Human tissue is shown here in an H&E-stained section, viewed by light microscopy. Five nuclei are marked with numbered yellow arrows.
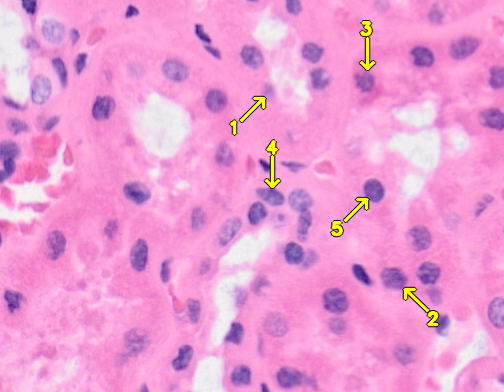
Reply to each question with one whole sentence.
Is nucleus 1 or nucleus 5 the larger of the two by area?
Of the two, number 5 is bigger and takes up about 2 times the area of number 1.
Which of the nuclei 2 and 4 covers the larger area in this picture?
Number 2 is larger; its area is about 1.5 times that of number 4.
